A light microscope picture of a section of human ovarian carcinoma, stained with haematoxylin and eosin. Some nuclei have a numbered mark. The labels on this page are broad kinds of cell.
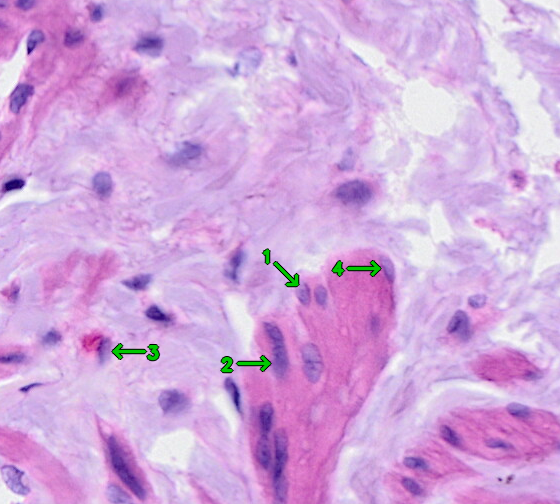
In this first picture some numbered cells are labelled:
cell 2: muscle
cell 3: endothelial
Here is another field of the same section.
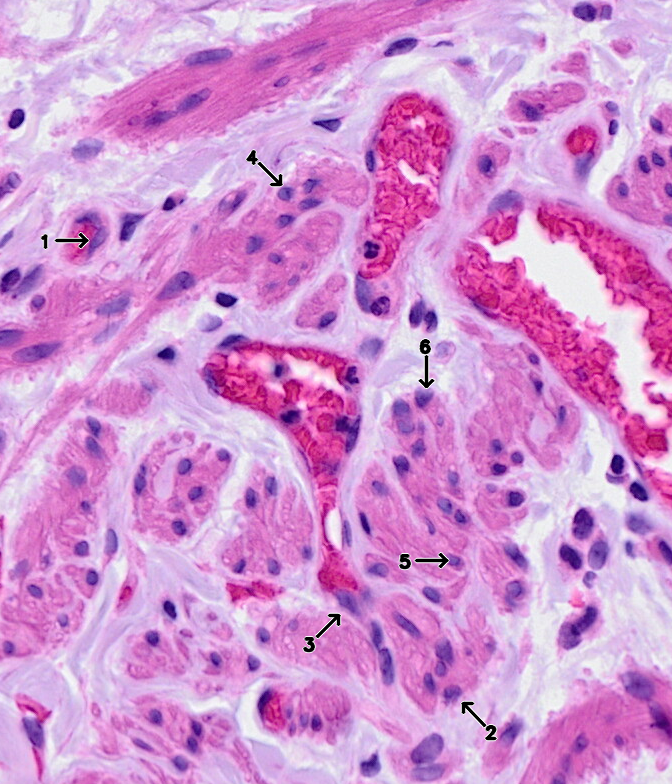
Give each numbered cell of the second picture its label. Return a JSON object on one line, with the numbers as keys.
{"1": "endothelial", "2": "muscle", "3": "endothelial", "4": "muscle", "5": "muscle", "6": "muscle"}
